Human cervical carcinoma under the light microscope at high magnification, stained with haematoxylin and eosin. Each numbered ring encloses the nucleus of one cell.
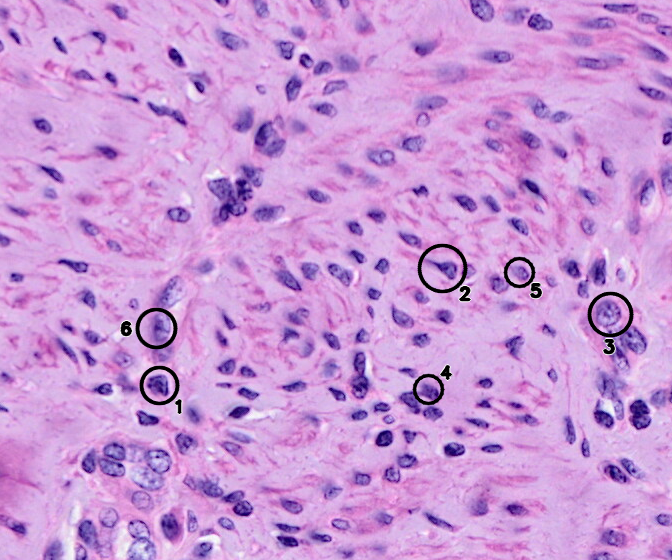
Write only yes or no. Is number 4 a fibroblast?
yes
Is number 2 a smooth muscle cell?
yes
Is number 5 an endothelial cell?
no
